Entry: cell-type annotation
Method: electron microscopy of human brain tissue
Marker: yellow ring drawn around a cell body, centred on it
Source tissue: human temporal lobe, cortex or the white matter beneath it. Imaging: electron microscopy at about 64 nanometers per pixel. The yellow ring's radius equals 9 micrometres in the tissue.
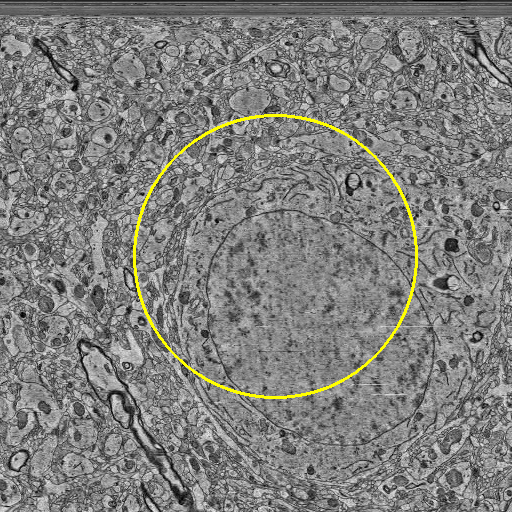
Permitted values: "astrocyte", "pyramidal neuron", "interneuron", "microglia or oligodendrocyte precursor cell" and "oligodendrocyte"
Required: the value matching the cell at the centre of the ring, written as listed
pyramidal neuron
